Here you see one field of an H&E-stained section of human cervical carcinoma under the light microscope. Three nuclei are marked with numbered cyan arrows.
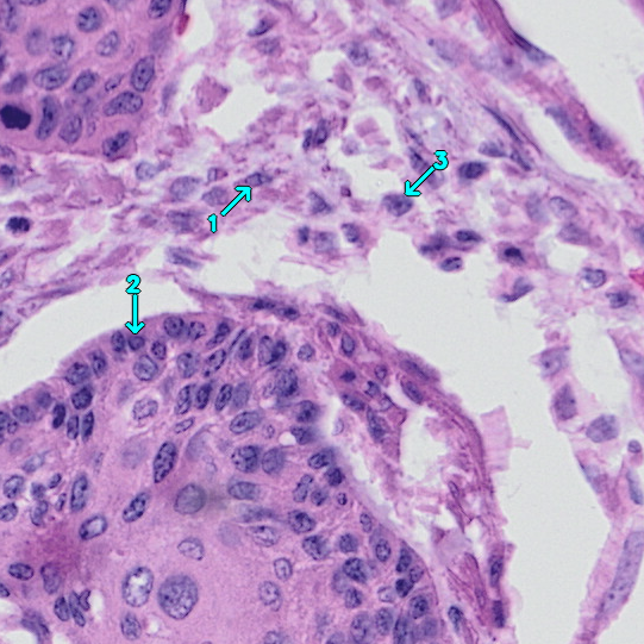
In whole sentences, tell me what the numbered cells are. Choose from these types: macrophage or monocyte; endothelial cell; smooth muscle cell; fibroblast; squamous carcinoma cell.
Cell 1 is a fibroblast. Cell 2 is a squamous carcinoma cell. Cell 3 is a macrophage or monocyte.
